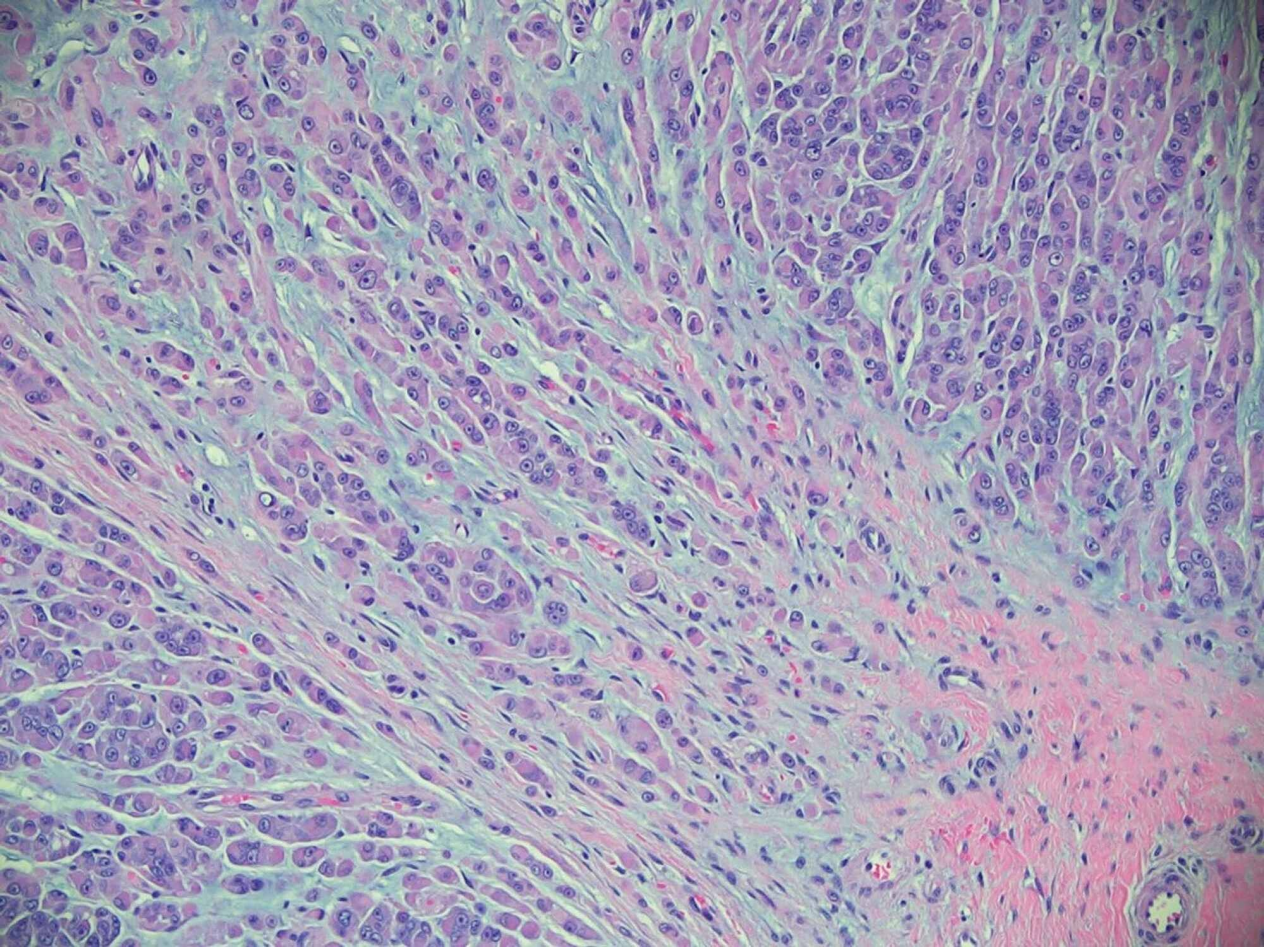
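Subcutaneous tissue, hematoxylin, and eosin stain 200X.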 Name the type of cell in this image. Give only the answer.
Malignant epithelioid tumor cells.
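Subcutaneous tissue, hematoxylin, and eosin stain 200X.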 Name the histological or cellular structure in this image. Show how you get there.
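Pale bluish-grey loose matrix separates the tumor cells into cords and nests. Streaming stroma runs diagonally across the field. On this evidence: myxoid stroma.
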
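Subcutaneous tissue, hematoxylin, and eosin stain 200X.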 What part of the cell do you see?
Prominent nucleoli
